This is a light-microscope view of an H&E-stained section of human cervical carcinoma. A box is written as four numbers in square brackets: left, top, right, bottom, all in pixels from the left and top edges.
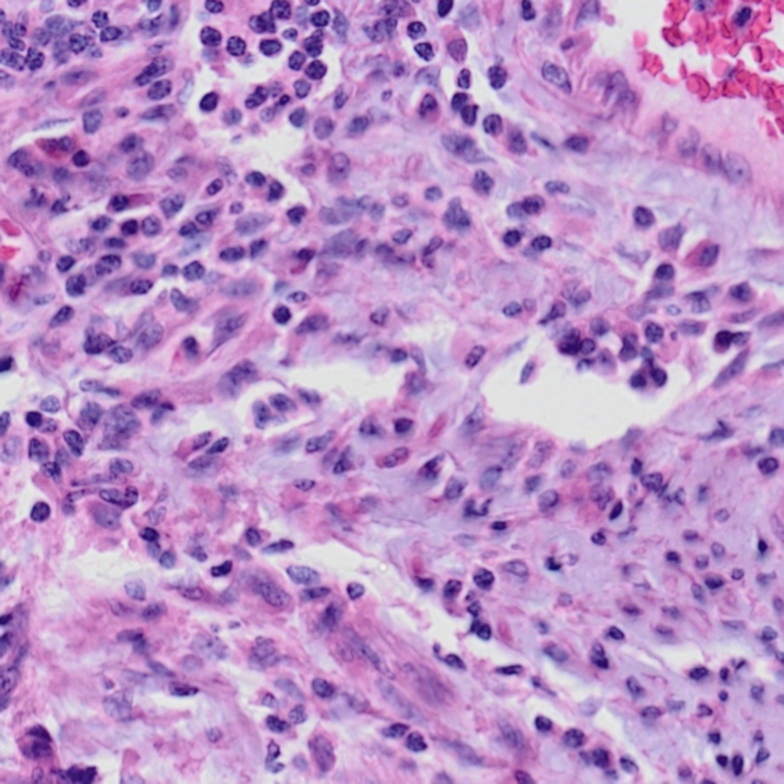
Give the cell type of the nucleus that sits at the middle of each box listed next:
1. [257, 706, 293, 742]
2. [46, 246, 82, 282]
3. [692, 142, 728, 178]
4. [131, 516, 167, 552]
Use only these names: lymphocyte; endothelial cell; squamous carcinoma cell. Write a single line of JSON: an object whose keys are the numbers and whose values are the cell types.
{"1": "lymphocyte", "2": "lymphocyte", "3": "endothelial cell", "4": "lymphocyte"}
